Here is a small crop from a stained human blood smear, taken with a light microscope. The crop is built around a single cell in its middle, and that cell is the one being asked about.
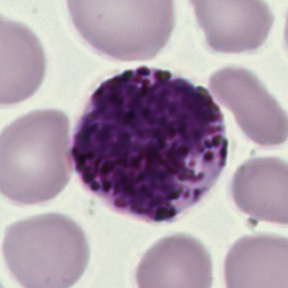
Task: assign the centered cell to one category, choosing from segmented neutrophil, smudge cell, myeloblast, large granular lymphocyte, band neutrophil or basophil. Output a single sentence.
Located at the centre of the crop is a basophil.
